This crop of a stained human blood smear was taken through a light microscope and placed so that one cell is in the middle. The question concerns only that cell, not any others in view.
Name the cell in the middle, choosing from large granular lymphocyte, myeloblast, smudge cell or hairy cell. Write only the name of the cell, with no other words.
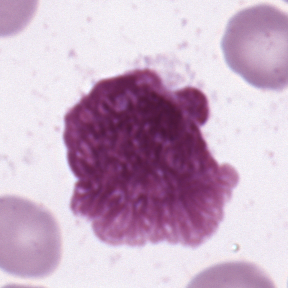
smudge cell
